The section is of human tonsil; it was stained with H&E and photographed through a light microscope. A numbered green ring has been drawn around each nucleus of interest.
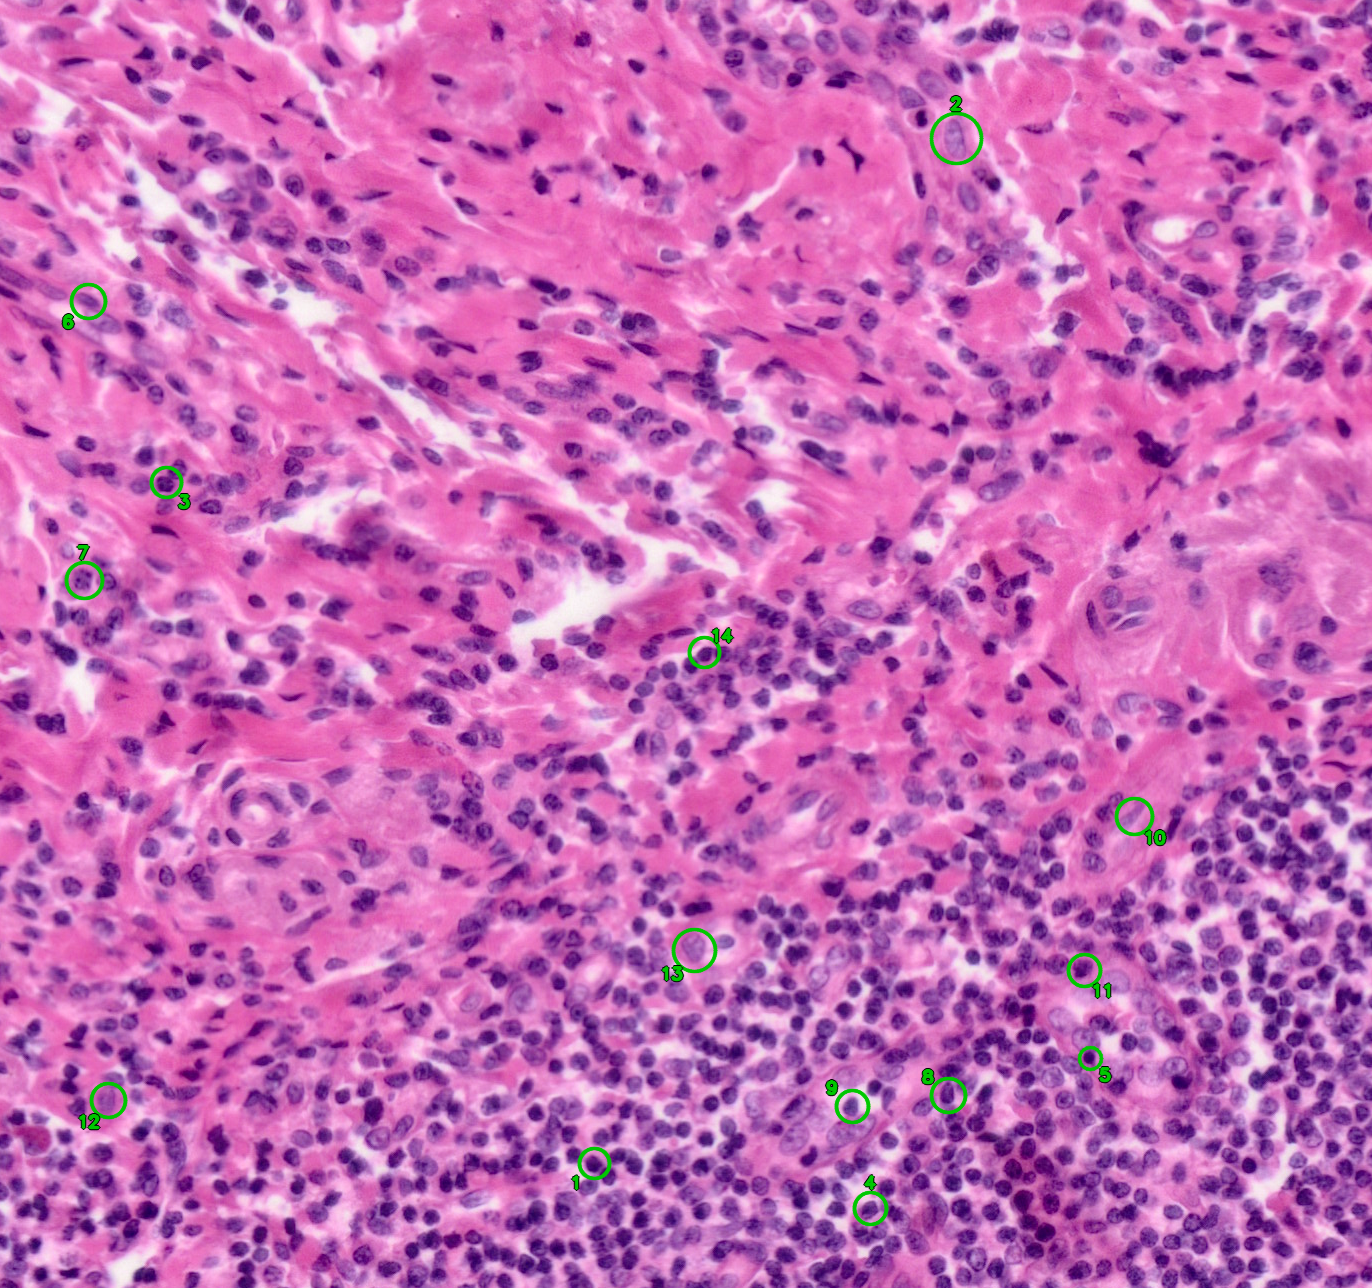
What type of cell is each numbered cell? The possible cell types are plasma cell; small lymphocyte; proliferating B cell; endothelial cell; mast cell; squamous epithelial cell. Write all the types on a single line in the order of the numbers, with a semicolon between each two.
small lymphocyte; endothelial cell; plasma cell; small lymphocyte; endothelial cell; endothelial cell; plasma cell; small lymphocyte; endothelial cell; endothelial cell; endothelial cell; endothelial cell; endothelial cell; small lymphocyte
